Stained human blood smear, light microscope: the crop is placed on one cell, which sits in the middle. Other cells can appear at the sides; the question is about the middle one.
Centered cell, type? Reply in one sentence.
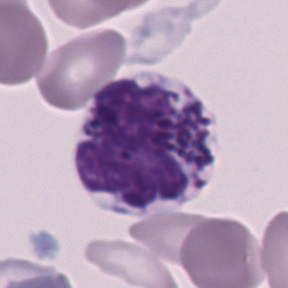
The center cell of this crop is a basophil.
